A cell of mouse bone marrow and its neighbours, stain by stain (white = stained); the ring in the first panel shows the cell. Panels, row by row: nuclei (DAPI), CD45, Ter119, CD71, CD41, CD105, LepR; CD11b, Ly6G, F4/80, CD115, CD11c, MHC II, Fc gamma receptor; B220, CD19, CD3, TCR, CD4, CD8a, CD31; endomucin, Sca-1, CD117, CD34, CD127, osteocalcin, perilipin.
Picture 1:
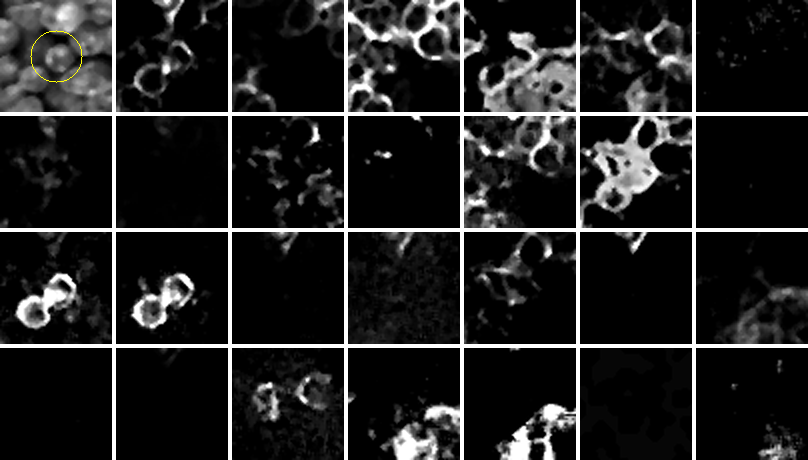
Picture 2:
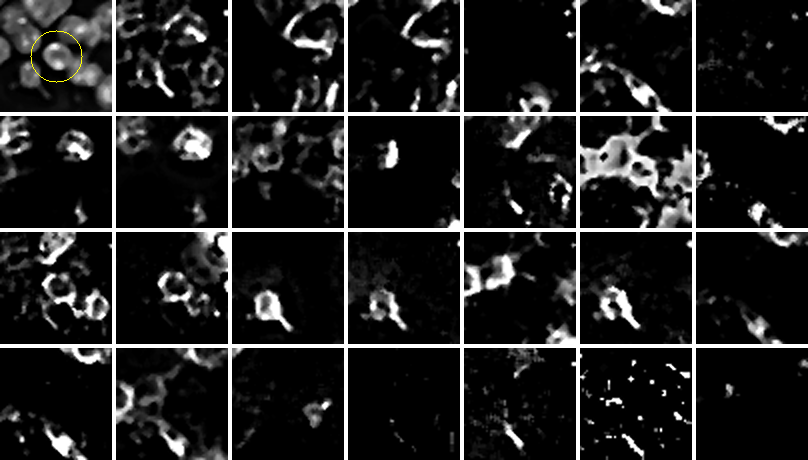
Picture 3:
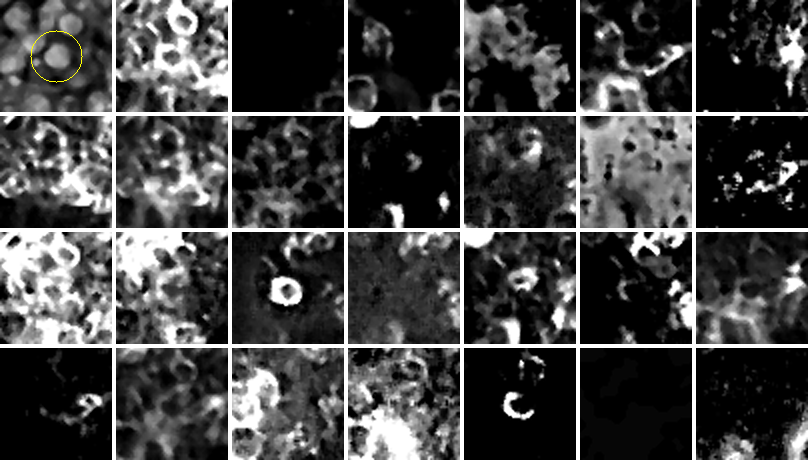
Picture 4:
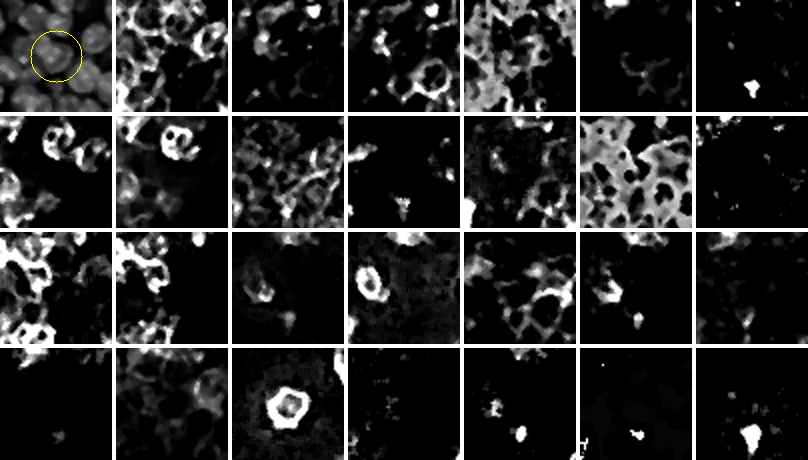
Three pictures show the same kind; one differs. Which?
Picture 4: a megakaryocyte progenitor, while the others are B cells.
